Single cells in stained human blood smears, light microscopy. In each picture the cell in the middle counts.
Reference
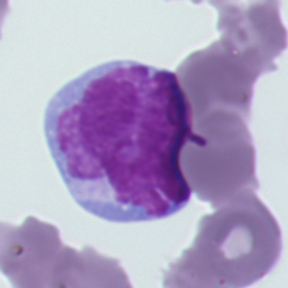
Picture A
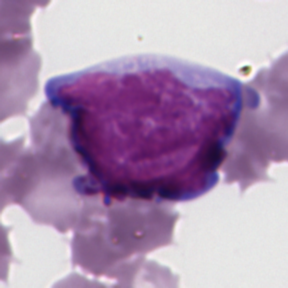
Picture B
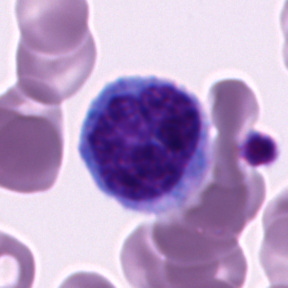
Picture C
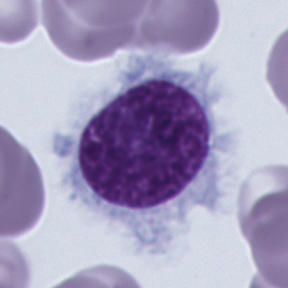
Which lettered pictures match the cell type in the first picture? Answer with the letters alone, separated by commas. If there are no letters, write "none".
A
